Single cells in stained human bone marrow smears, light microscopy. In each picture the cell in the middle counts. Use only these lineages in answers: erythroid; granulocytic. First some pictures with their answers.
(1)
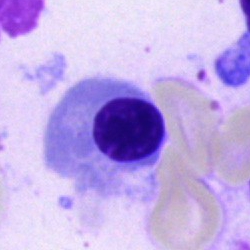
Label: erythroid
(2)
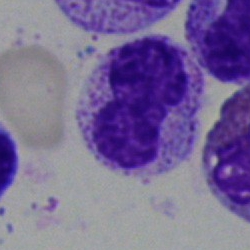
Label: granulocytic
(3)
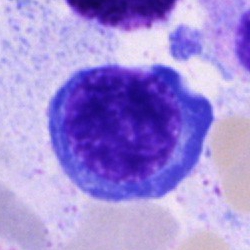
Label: erythroid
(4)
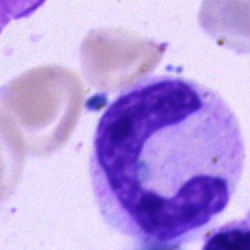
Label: granulocytic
